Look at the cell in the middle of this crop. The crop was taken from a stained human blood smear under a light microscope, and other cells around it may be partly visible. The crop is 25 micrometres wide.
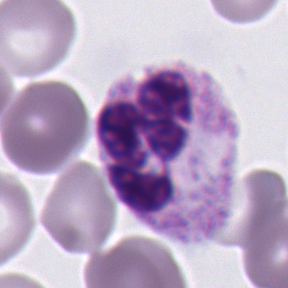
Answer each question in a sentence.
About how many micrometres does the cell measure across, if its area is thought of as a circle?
Taken as a circle, the cell has a diameter of about 14 micrometres.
